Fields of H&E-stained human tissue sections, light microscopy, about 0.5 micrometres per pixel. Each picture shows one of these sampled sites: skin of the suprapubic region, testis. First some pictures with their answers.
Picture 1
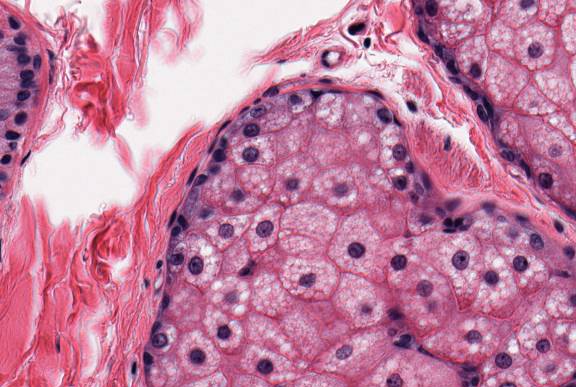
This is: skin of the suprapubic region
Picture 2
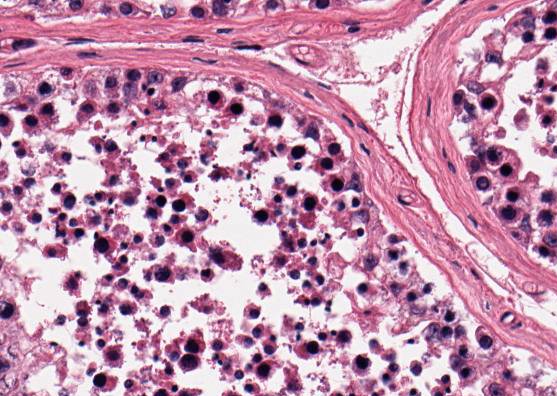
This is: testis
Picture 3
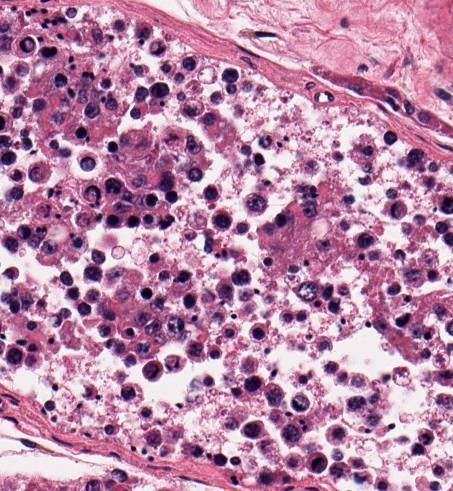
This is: testis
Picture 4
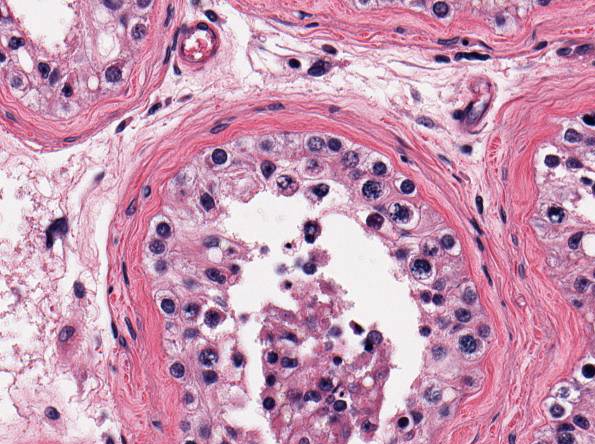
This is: testis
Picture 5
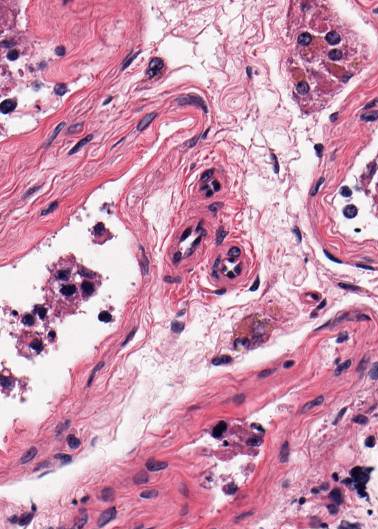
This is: testis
